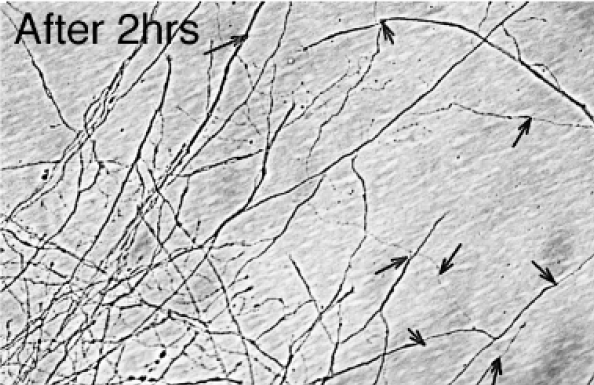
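The axons appear as thin, dark, thread-like fibres that run long distances with few branches, some curving in wide arcs. They are densest on the left side of the field, where many cross and overlap, and thin out toward the right. The background is pale and grainy, with darker diffuse patches but no clear cell bodies among the fibres.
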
